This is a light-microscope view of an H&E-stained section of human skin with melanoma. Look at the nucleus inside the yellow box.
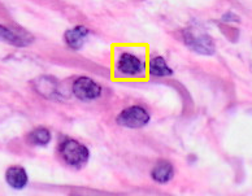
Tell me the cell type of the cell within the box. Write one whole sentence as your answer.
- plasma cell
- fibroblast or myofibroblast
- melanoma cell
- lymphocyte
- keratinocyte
The cell within the box appears to be a plasma cell.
